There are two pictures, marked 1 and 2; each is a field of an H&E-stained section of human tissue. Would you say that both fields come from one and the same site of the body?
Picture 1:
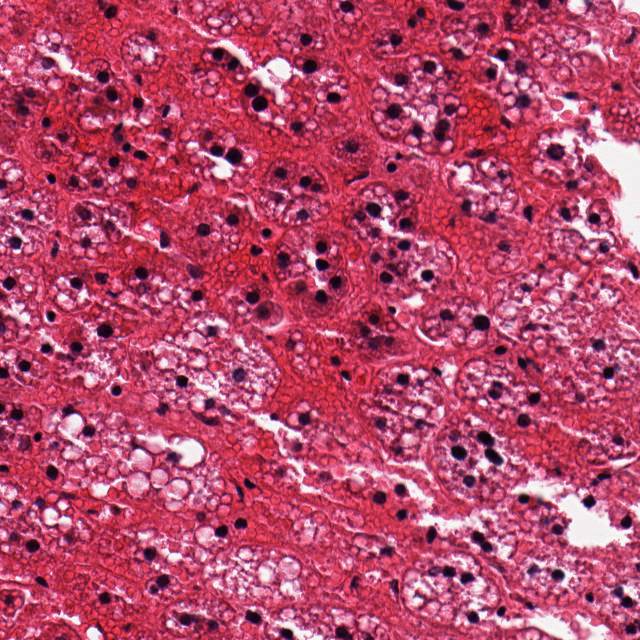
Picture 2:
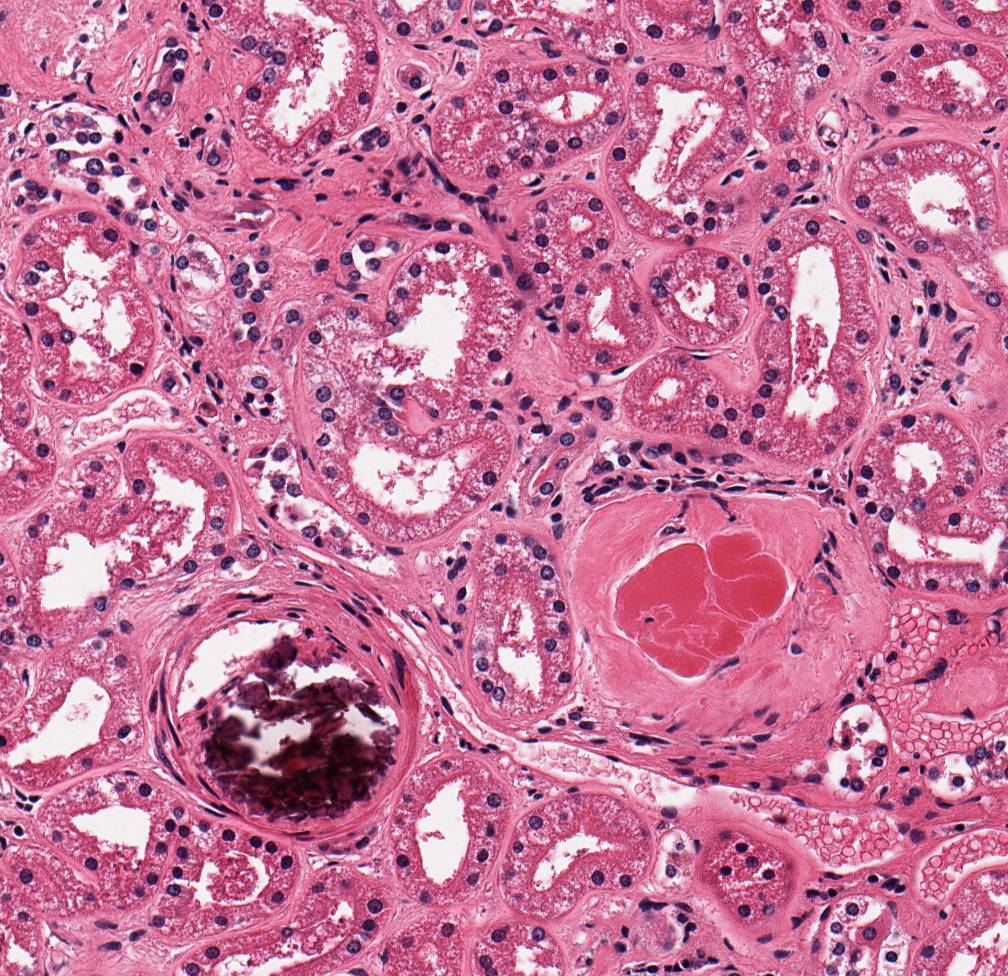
no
